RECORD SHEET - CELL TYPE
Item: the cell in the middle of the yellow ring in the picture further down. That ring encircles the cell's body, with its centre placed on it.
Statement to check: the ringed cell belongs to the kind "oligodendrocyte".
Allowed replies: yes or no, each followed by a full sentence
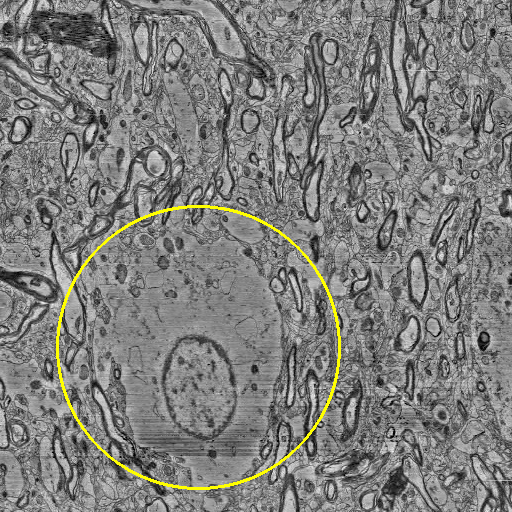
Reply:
No, the cell held at the centre of the ring in the picture is of a different kind.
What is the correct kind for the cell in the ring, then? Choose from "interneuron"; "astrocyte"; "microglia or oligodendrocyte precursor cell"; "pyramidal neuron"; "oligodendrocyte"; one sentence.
Instead, the picture shows an astrocyte at the centre of the ring.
